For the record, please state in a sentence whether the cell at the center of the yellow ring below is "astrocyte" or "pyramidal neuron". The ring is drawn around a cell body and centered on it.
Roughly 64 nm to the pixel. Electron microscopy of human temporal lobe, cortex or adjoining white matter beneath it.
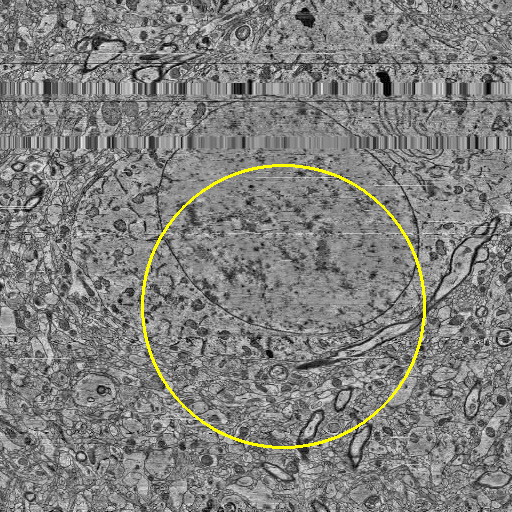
The cell at the ring's center is a pyramidal neuron.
